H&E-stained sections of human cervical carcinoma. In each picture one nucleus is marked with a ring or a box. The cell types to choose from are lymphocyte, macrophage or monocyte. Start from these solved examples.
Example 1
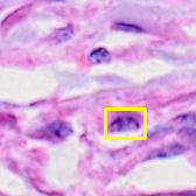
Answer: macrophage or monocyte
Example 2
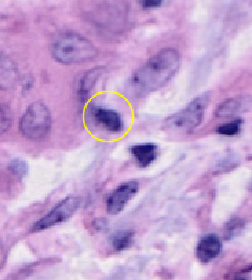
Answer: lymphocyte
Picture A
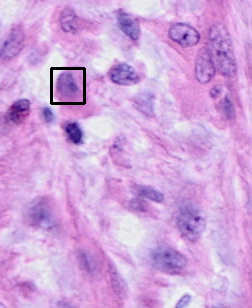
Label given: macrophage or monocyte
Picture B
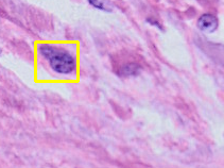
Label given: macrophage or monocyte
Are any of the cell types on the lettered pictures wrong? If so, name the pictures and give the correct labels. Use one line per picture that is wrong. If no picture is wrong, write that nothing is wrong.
None of the labels needs changing.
